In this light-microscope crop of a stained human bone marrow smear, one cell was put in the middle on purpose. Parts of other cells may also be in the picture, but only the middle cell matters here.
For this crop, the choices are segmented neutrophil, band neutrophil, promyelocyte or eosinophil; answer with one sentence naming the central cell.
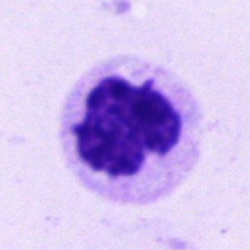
Within this crop, a segmented neutrophil occupies the central position.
